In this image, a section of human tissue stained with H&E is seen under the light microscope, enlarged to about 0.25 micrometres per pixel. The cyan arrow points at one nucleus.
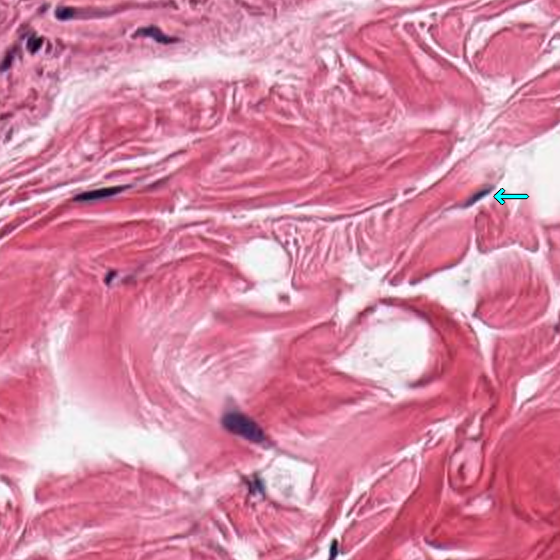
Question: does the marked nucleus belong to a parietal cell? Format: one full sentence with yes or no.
No, the marked nucleus, rather than belonging to a parietal cell, belongs to a supporting cell.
